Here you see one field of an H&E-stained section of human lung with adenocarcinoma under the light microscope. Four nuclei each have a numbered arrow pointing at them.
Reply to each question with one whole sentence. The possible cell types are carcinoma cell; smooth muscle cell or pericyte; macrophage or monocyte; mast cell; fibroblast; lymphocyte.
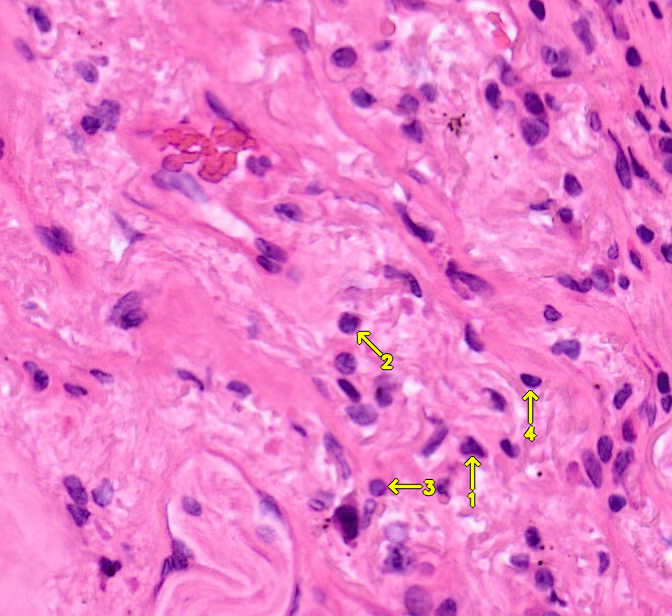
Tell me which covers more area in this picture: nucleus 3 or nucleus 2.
Nucleus 2 is larger, with an area about 1.5 times that of nucleus 3.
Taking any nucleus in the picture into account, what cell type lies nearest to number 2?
The nearest nucleus to number 2 belongs to a mast cell.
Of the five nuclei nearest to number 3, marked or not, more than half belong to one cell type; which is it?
Of the five nuclei nearest to number 3, most belong to fibroblasts.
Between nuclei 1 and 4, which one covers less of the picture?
It is nucleus 4; nucleus 1 has about 1.5 times its area.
